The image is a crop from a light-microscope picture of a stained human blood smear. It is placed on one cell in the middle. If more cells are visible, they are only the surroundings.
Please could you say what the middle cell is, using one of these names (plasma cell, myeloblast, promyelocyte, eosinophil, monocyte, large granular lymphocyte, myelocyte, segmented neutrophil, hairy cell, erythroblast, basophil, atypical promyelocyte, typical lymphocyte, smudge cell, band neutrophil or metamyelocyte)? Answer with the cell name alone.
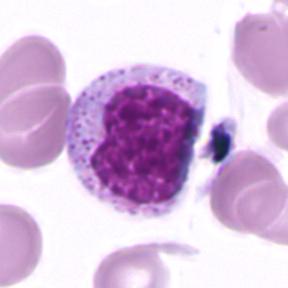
metamyelocyte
